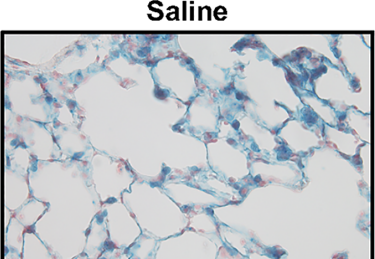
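This is lung tissue, with thin alveolar walls forming a delicate network around large open air spaces. Many cells within the walls carry blue granular deposits, and the nuclei throughout are stained pink to red.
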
